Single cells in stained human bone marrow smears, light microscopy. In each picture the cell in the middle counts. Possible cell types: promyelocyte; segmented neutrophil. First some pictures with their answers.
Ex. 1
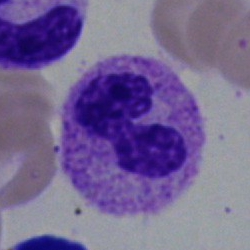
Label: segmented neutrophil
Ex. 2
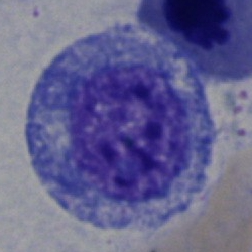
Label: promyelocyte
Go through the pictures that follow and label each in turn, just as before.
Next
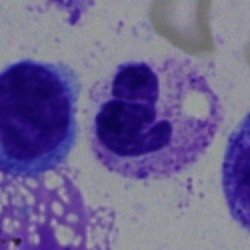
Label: segmented neutrophil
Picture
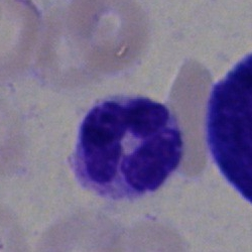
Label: segmented neutrophil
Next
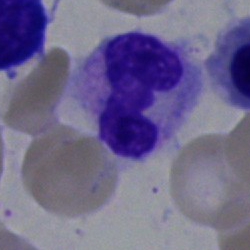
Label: segmented neutrophil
